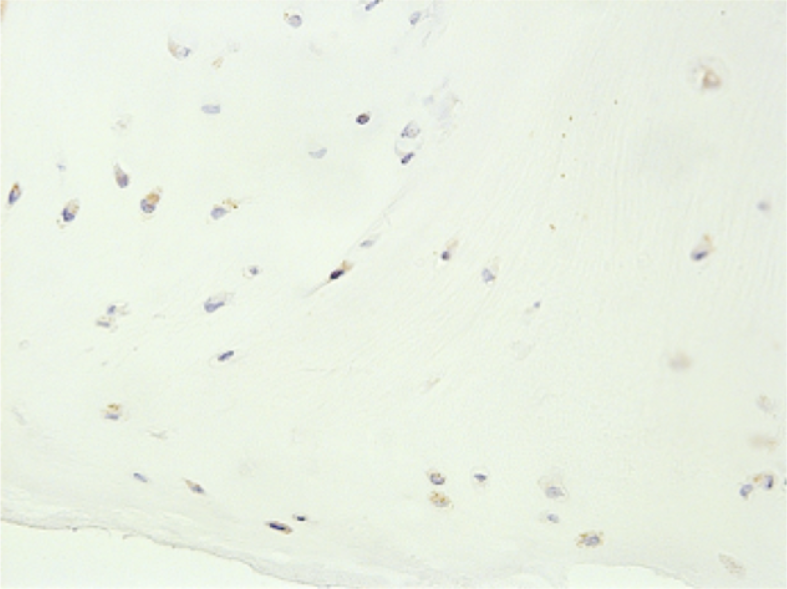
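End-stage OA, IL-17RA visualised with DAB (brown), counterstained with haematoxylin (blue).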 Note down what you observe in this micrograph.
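This is cartilage with sparse chondrocytes lying singly in small lacunae within a wide, pale, homogeneous matrix. Their nuclei stain blue, and some cells carry faint brown granules in the cytoplasm; near the surface the cells are flatter and lie parallel to the edge.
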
